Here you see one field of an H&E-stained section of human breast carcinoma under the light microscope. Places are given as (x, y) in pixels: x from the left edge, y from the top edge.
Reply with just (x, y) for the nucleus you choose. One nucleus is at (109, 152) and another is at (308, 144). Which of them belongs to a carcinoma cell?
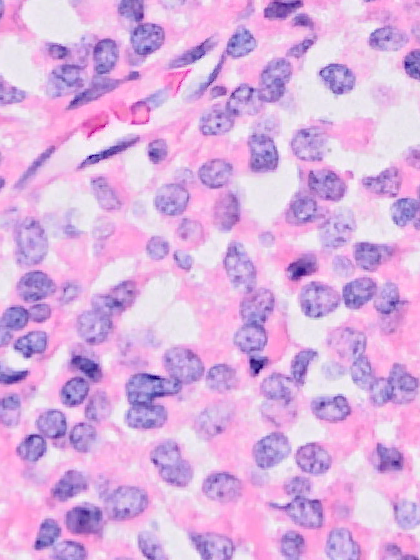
(308, 144)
